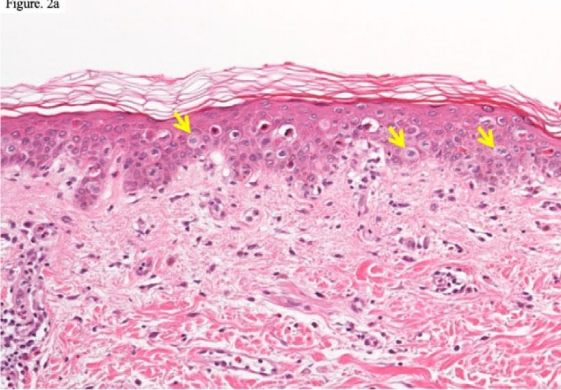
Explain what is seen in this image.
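Epidermis and upper dermis of skin stained pink and purple. The epidermis is covered by a loose basket-weave cornified layer. Among the keratinocytes, scattered cells are rounded with intensely pink cytoplasm and small dark or fragmented nuclei, some lying within clear halos, consistent with dying keratinocytes. The basal layer is irregular. The upper dermis contains pale pink collagen with scattered inflammatory cells and small vessels, and a denser cluster of small dark cells at the lower left.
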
